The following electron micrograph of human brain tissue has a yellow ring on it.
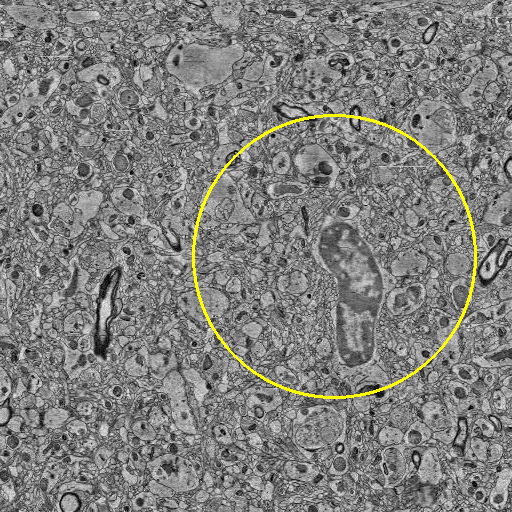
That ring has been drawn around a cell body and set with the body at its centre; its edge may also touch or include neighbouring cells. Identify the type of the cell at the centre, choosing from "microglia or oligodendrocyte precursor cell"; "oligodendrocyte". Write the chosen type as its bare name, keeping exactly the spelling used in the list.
microglia or oligodendrocyte precursor cell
